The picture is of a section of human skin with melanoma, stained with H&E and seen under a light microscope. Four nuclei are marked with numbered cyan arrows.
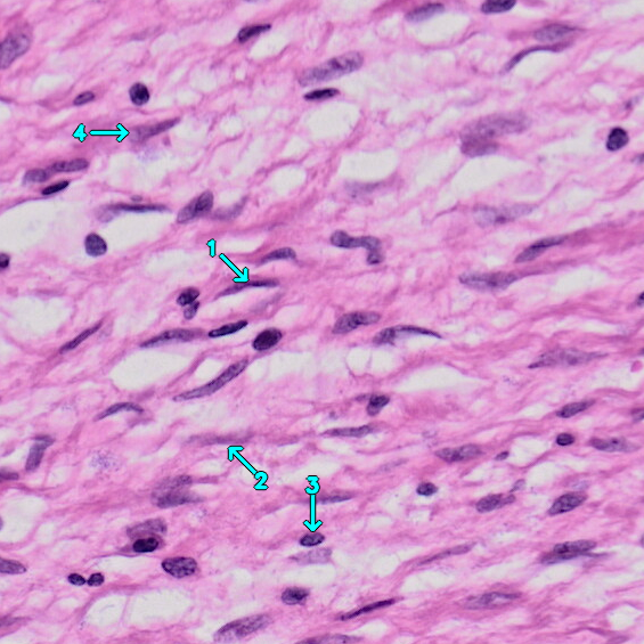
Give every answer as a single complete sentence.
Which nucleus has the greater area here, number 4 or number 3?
Nucleus 4 covers more area, about 2 times as much as nucleus 3.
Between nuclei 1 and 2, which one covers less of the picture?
Number 1 is smaller, since number 2 takes up about 2 times as much area.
